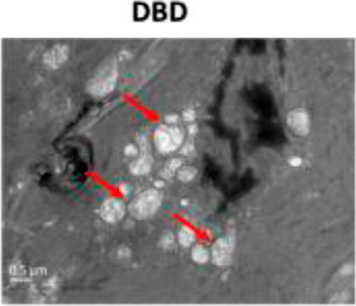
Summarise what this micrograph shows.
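The mitochondria are rounded and pale, many looking ballooned, with light interiors in which only a few inner membrane folds remain. They crowd together in a group beside a large, irregular, very dark electron-dense mass. Around them the cytoplasm has a fine grey, slightly streaky texture. Compared with compact mitochondria with well-packed folds, these look swollen and washed out, with their inner structure poorly preserved.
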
